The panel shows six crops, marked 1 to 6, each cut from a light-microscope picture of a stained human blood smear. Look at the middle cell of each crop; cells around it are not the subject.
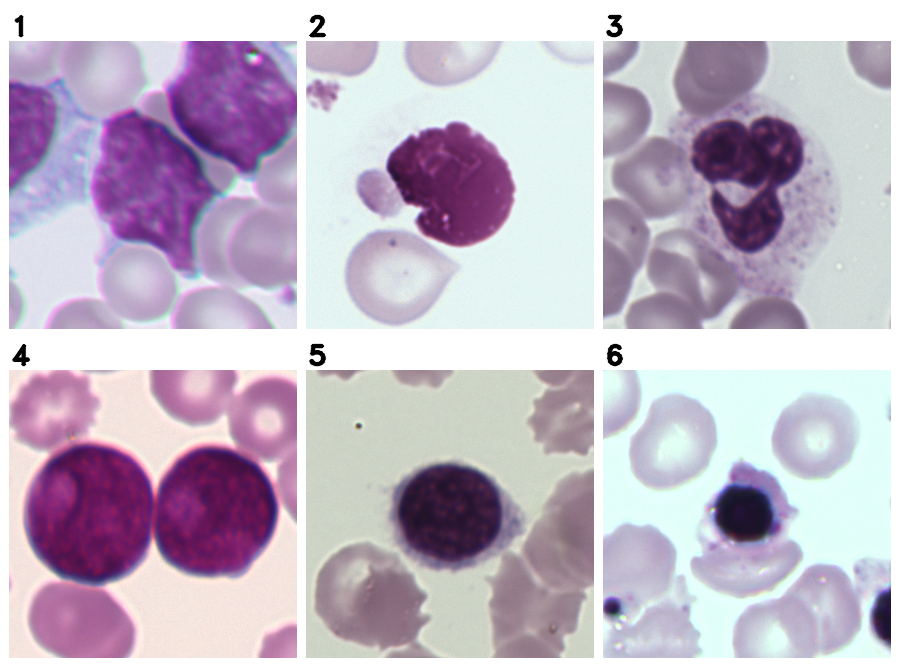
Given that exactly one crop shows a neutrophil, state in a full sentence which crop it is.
Crop 3 represents a neutrophil, while the other crops do not.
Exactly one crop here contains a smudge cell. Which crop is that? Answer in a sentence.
Crop 2 is the one in this set that shows a smudge cell.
